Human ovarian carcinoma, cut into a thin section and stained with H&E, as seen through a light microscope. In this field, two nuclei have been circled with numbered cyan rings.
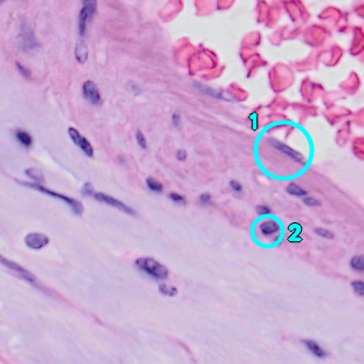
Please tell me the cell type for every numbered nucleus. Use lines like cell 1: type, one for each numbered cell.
cell 1: endothelial cell
cell 2: smooth muscle cell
